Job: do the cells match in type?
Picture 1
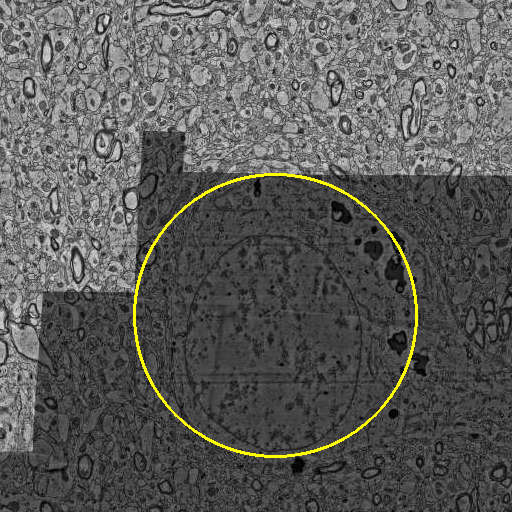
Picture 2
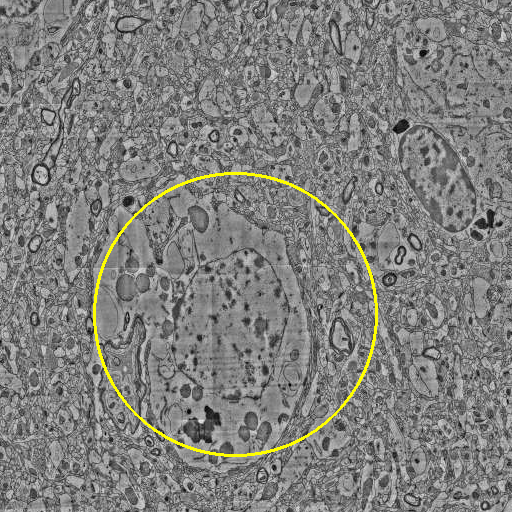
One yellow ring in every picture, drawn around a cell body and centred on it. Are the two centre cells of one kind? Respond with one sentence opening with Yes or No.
No, the ringed cells in the two pictures are of two separate kinds.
